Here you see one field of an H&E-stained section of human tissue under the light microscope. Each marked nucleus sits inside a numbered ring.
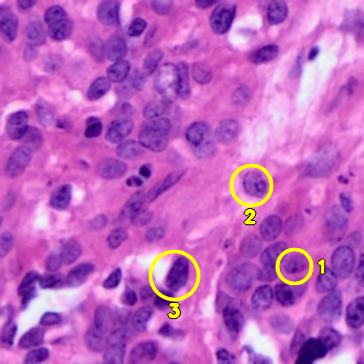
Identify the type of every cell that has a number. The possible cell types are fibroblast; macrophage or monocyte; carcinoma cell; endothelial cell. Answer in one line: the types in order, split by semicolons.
carcinoma cell; macrophage or monocyte; carcinoma cell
